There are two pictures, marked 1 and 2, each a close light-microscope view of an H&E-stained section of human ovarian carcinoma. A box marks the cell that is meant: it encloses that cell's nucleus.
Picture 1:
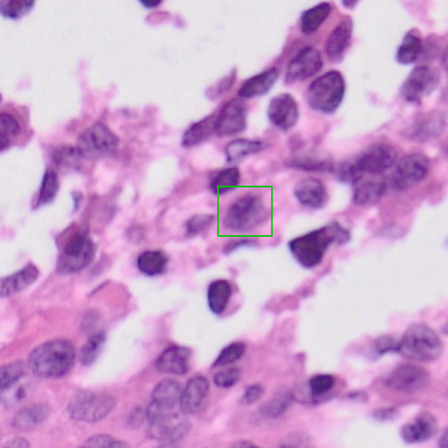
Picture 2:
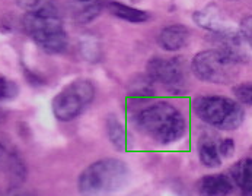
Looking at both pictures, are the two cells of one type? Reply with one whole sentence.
Yes, the two pictures both show carcinoma cells.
